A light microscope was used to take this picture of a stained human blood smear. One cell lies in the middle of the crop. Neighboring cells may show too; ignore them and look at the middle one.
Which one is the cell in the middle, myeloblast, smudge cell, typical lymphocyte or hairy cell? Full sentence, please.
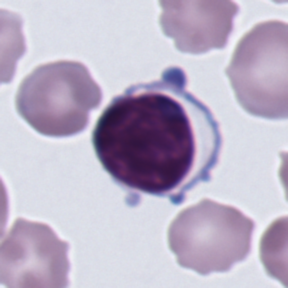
To answer, the cell in the center of the crop is a typical lymphocyte.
